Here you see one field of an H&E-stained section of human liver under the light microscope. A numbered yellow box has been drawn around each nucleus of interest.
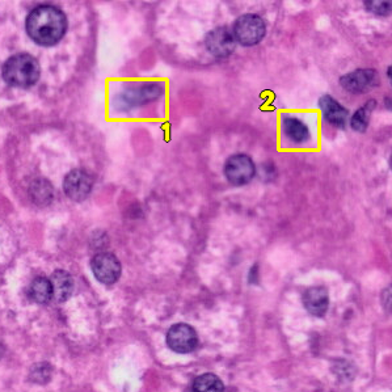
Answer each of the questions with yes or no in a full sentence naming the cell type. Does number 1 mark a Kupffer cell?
Yes, cell number 1 in this section is a Kupffer cell.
